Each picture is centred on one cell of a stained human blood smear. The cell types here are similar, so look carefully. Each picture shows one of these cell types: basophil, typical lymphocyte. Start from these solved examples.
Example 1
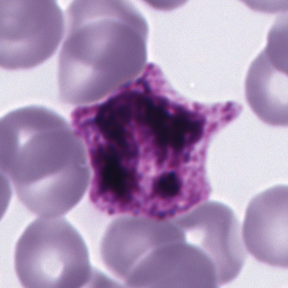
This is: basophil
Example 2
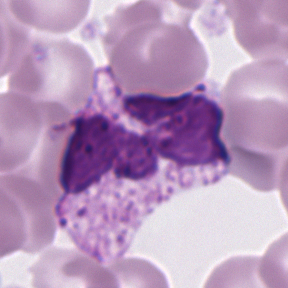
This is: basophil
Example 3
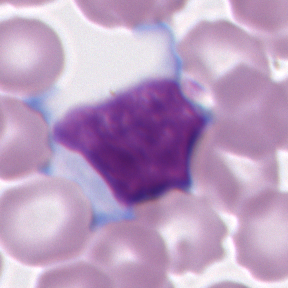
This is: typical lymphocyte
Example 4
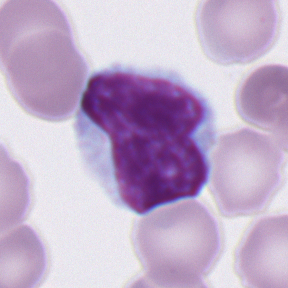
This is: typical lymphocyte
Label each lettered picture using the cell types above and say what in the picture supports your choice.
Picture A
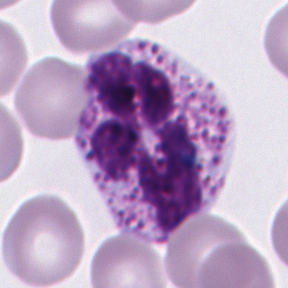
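basophil: The nucleus is divided into several separate lobes.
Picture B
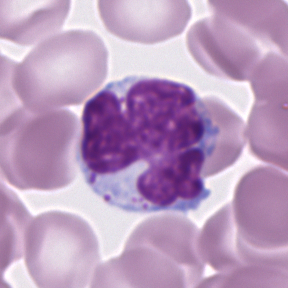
typical lymphocyte: A few small purple granules lie scattered in the cytoplasm, mostly near the lower edge.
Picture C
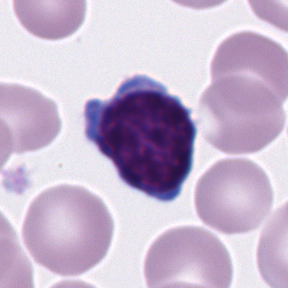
typical lymphocyte: The nucleus is a single unlobed mass that fills most of the cell.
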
